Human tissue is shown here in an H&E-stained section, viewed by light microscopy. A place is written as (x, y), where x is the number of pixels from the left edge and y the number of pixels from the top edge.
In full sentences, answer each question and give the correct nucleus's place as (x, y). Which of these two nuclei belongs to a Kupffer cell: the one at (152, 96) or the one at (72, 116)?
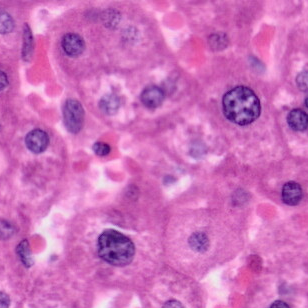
Of the two nuclei present, the one at (72, 116) is within a Kupffer cell.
